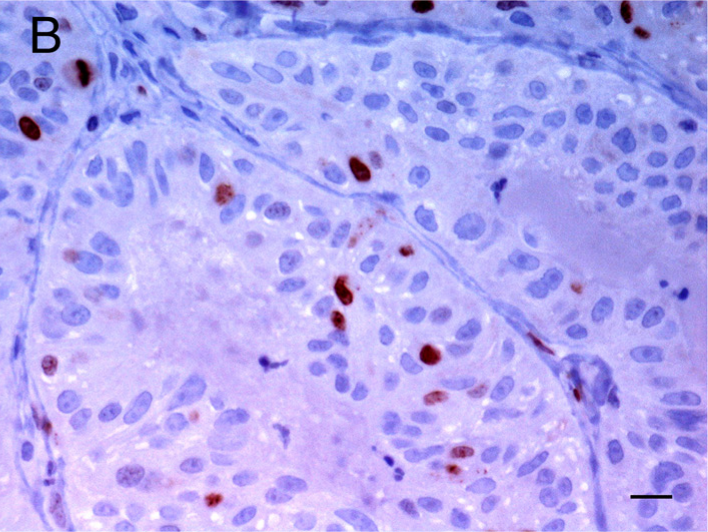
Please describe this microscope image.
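Large solid nests of tumour epithelial cells are bounded by thin bands of stroma containing flattened spindle-shaped cells. The tumour cells have oval, pale blue nuclei with fine chromatin and small nucleoli, and the cytoplasm is pale and indistinct. Only a few scattered nuclei are stained brown, most of the nuclei being blue. Some of the brown nuclei lie at the edges of the nests next to the stroma.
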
